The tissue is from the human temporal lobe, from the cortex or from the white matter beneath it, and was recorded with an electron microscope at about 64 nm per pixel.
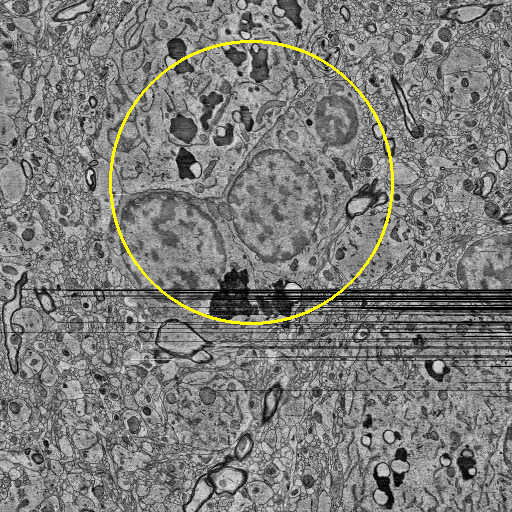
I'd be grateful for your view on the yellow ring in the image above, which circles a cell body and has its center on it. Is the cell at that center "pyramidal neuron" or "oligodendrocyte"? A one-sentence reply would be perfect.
The cell at the center of the yellow ring is an oligodendrocyte.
